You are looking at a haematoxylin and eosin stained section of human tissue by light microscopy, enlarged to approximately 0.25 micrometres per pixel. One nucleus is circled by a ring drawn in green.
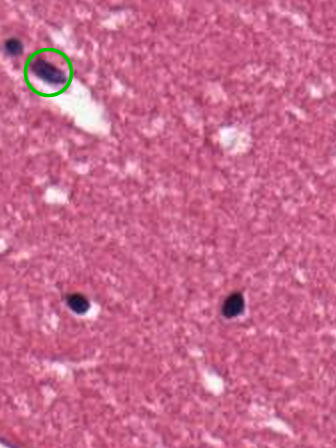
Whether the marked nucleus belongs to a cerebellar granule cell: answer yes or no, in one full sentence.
No, the marked nucleus is not part of a cerebellar granule cell and instead belongs to a supporting cell.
